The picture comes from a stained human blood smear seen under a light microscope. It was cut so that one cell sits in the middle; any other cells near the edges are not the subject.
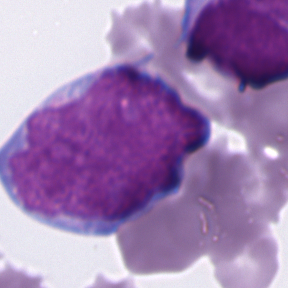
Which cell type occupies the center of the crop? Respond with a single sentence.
At the middle of the frame sits a blast.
